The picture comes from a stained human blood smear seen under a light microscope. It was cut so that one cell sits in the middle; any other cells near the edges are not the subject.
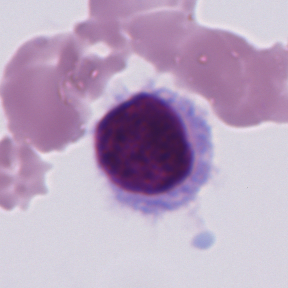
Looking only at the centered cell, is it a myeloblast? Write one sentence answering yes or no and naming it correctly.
No, the central cell does not count as a myeloblast; it is a hairy cell.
